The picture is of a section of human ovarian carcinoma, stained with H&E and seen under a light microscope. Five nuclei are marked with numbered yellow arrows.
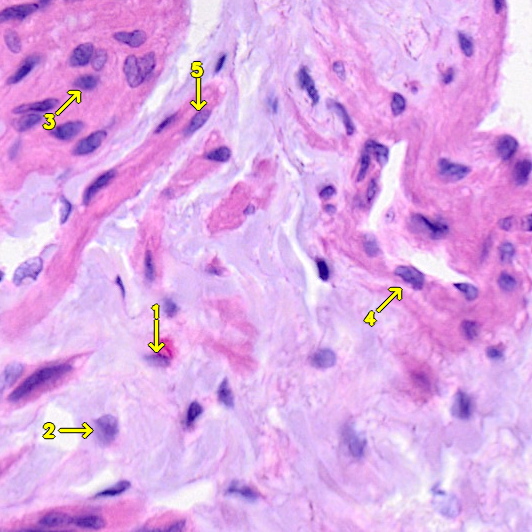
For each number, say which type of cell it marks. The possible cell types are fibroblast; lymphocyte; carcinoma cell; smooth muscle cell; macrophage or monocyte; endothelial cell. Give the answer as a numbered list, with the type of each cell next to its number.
1. endothelial cell
2. fibroblast
3. smooth muscle cell
4. endothelial cell
5. smooth muscle cell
